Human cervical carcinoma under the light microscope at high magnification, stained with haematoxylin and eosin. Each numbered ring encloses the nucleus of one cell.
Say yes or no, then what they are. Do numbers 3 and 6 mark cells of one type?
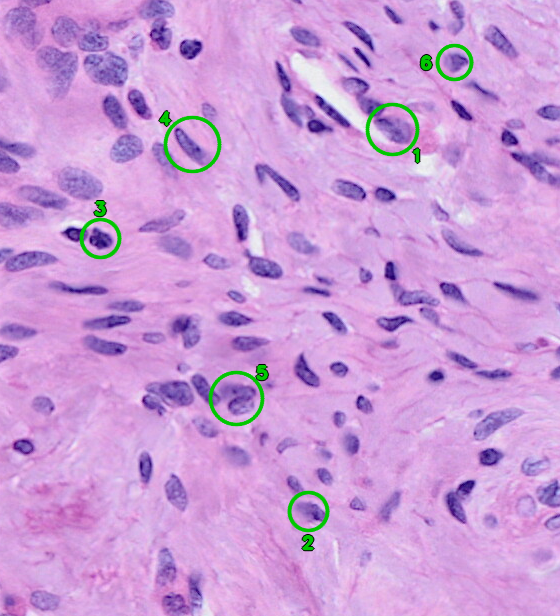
No, cell 3 is interpreted as a lymphocyte, and cell 6 is interpreted as a fibroblast.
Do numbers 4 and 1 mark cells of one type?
No: cell 4 is a fibroblast, while cell 1 is an endothelial cell.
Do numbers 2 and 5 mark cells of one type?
Yes, cells 2 and 5 both qualify as fibroblasts.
